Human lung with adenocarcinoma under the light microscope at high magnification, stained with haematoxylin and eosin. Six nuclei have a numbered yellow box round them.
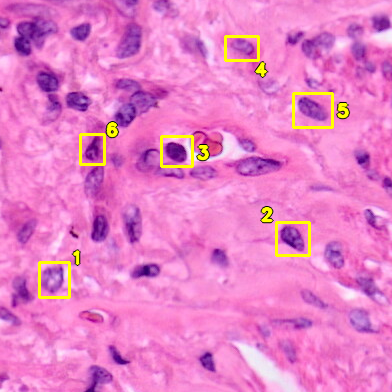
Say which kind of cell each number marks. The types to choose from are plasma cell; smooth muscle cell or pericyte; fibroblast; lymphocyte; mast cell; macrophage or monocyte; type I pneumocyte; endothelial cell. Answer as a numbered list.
1. fibroblast
2. mast cell
3. lymphocyte
4. mast cell
5. mast cell
6. plasma cell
